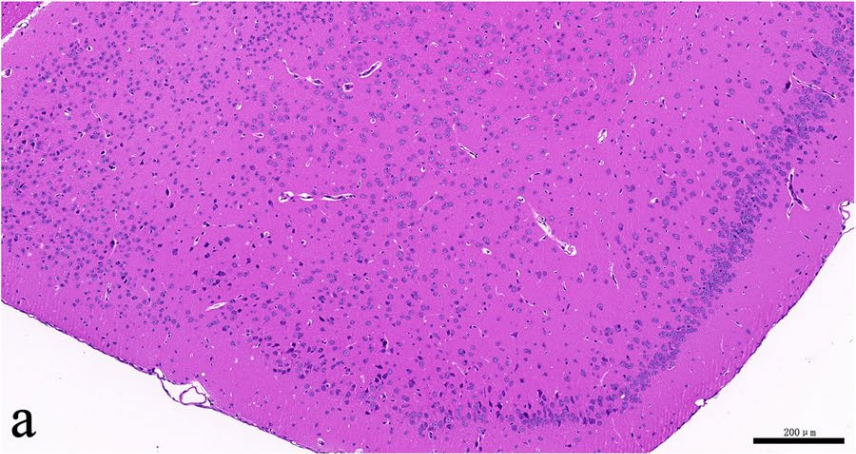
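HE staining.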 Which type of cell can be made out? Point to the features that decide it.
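A dense curved band of closely packed dark nuclei runs along one side.
Brain neurons.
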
